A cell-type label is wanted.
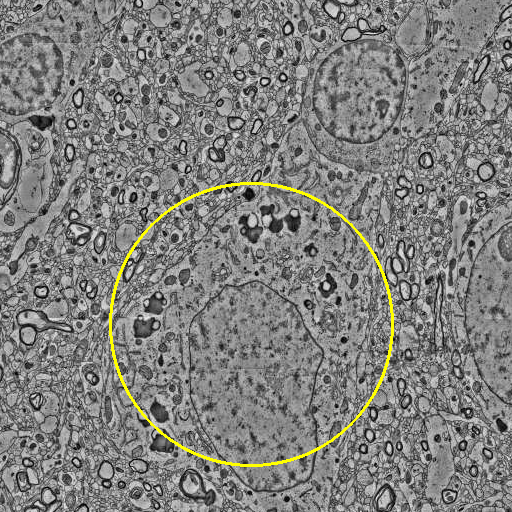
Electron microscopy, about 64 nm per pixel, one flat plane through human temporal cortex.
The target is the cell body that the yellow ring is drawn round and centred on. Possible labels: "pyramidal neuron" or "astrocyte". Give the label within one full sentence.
Of the labels offered, the cell in the middle of the yellow ring is a pyramidal neuron.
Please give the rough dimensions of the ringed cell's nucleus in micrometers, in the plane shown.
The ringed cell's nucleus is about 14 micrometres long and 9 micrometres wide in this plane.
